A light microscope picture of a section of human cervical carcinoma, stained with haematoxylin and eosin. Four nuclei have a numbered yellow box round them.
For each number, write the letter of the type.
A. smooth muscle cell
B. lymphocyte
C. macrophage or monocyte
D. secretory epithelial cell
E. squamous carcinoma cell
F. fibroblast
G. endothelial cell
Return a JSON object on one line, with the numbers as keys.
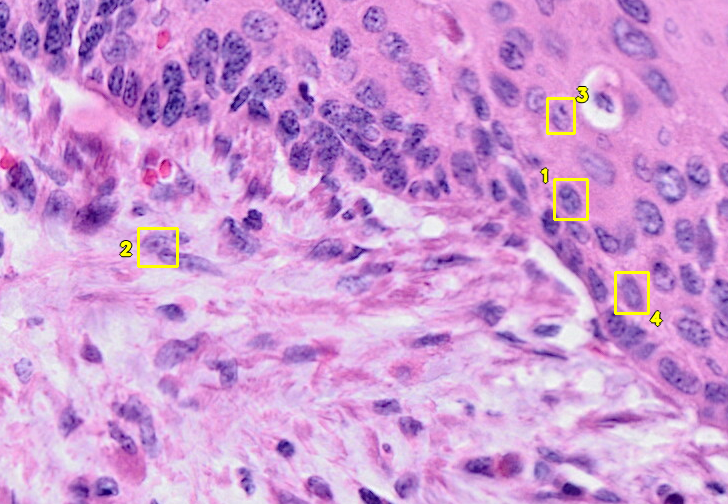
{"1": "E", "2": "F", "3": "E", "4": "E"}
